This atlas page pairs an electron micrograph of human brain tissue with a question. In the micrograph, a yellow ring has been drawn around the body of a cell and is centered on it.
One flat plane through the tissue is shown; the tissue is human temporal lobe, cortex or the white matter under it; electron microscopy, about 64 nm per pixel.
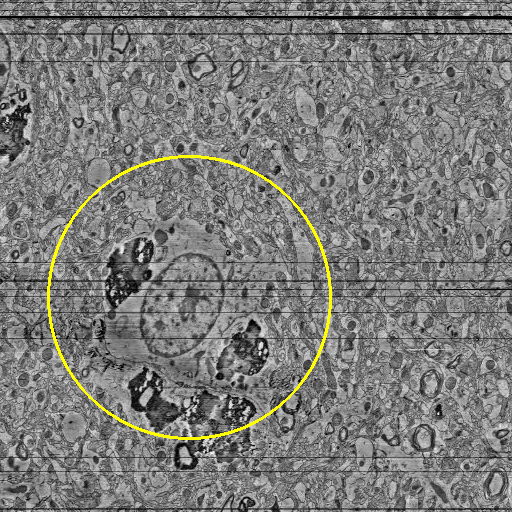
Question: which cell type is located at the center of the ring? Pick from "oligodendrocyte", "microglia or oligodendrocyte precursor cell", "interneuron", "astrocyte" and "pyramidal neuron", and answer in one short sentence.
Located at the center of the ring is an astrocyte.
